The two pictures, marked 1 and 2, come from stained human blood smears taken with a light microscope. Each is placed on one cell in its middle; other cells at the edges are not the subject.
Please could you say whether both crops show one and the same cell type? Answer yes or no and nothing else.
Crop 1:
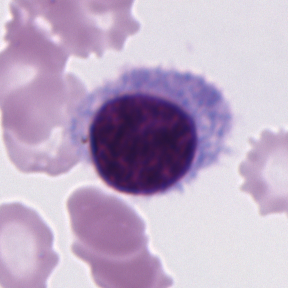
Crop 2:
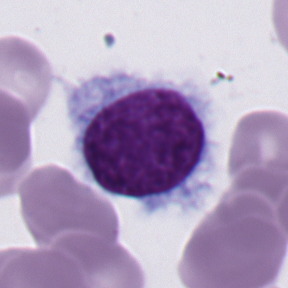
yes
